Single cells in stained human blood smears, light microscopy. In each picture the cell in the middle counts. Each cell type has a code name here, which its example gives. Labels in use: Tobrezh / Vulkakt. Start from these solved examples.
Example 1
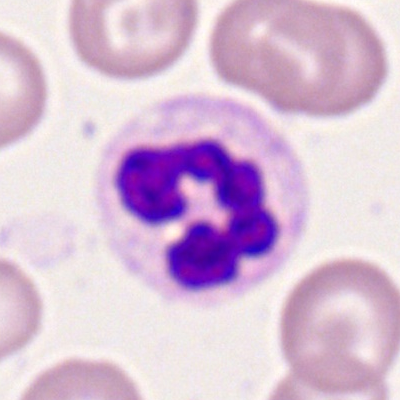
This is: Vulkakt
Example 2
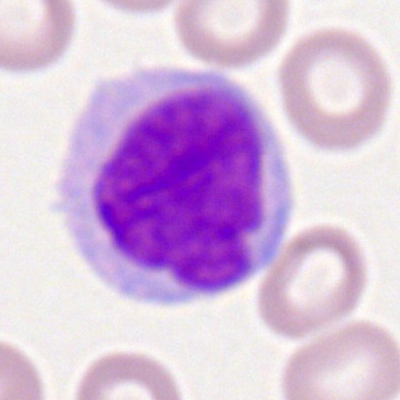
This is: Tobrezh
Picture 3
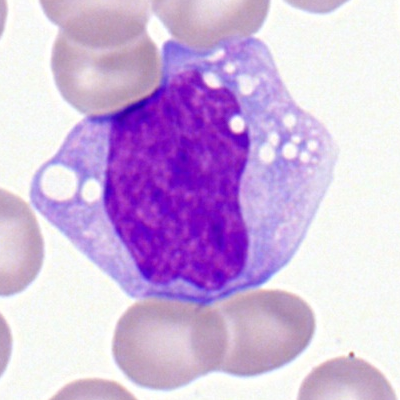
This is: Tobrezh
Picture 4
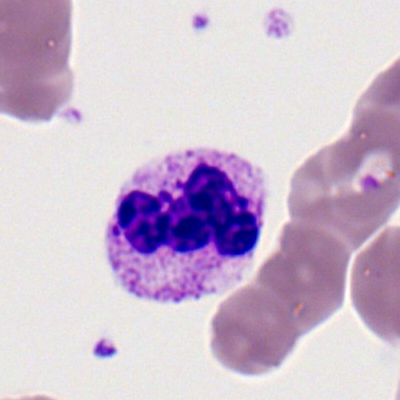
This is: Vulkakt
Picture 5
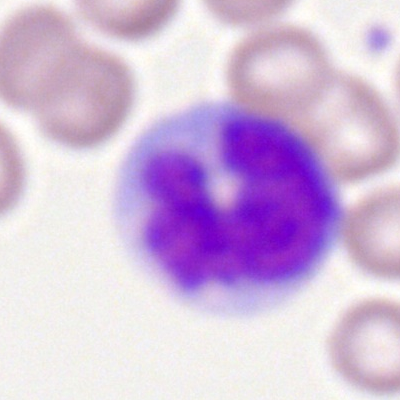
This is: Tobrezh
